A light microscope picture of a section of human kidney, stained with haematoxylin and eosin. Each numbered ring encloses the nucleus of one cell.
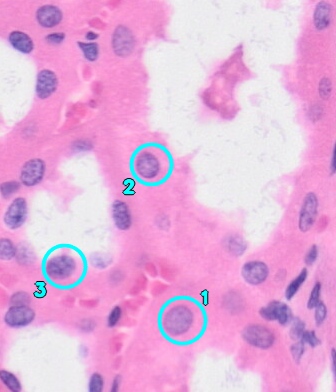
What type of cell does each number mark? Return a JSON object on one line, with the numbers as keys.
{"1": "proximal tubule cell", "2": "proximal tubule cell", "3": "loop of Henle or distal tubule cell"}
